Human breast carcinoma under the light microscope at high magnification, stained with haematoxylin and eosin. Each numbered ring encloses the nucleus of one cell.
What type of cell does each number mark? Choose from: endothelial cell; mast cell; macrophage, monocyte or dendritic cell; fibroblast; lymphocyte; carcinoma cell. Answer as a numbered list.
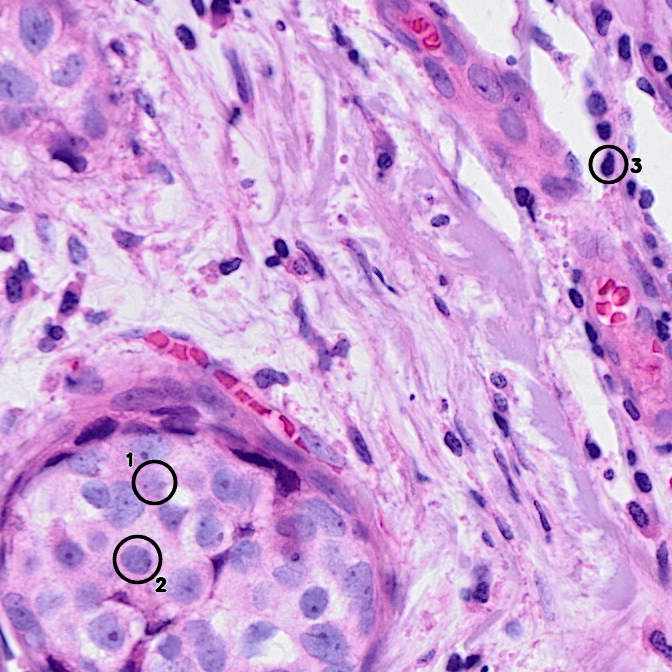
1. carcinoma cell
2. carcinoma cell
3. lymphocyte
